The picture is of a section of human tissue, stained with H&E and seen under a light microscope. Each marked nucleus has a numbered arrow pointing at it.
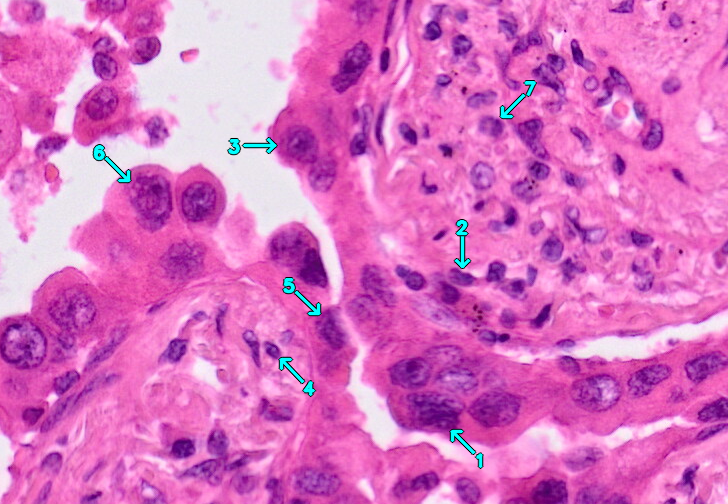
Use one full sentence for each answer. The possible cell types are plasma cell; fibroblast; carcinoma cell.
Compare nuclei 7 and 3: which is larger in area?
Number 3 is larger; its area is about 2.5 times that of number 7.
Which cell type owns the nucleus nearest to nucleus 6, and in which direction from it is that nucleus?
The nearest one is a carcinoma cell, found to the right of nucleus 6.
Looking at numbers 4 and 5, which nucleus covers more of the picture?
Nucleus 5 covers more area, about 4 times as much as nucleus 4.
